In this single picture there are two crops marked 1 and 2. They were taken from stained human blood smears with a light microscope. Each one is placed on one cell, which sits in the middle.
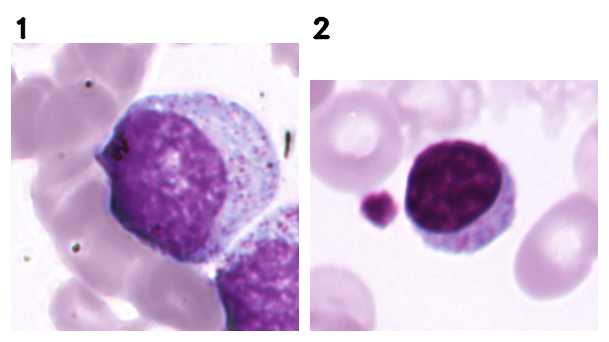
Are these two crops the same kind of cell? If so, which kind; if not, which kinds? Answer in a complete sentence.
No, a large granular lymphocyte is in crop 2, and a myelocyte is in crop 1.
